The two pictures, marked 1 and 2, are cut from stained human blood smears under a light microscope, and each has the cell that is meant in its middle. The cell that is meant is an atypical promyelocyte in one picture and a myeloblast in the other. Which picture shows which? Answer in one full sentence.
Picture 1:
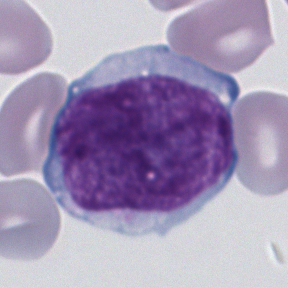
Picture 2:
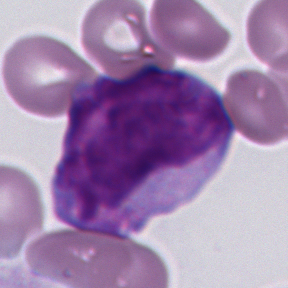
It is picture 1 that shows a myeloblast, and picture 2 that shows an atypical promyelocyte.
